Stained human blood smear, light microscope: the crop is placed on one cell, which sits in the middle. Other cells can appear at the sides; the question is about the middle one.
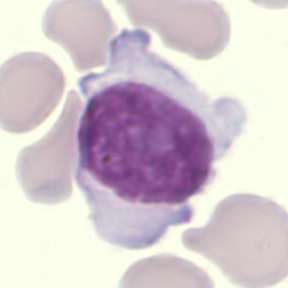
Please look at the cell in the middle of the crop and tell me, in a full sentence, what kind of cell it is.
The cell featured at the centre of this crop is a plasma cell.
